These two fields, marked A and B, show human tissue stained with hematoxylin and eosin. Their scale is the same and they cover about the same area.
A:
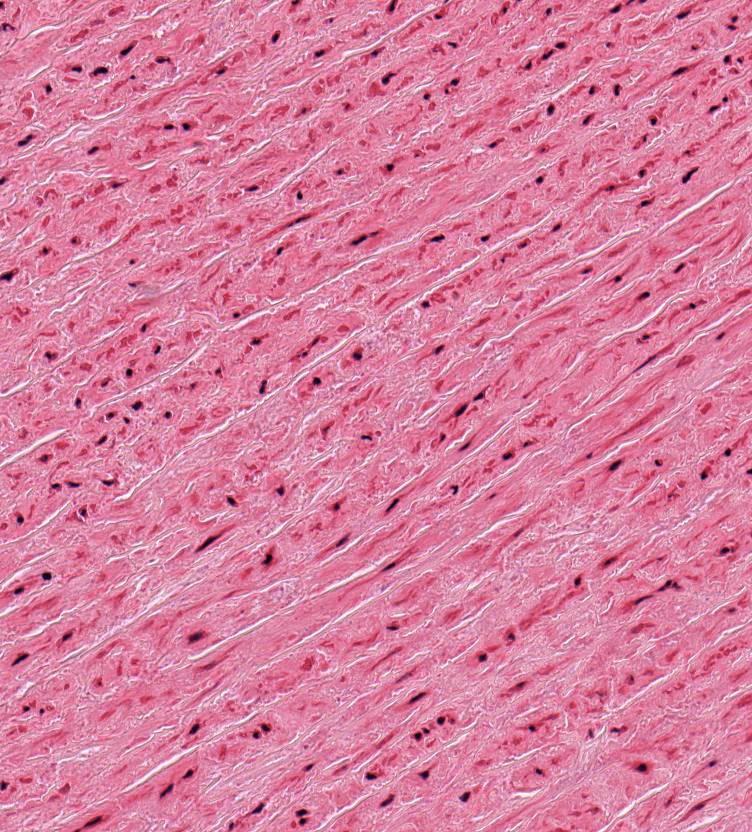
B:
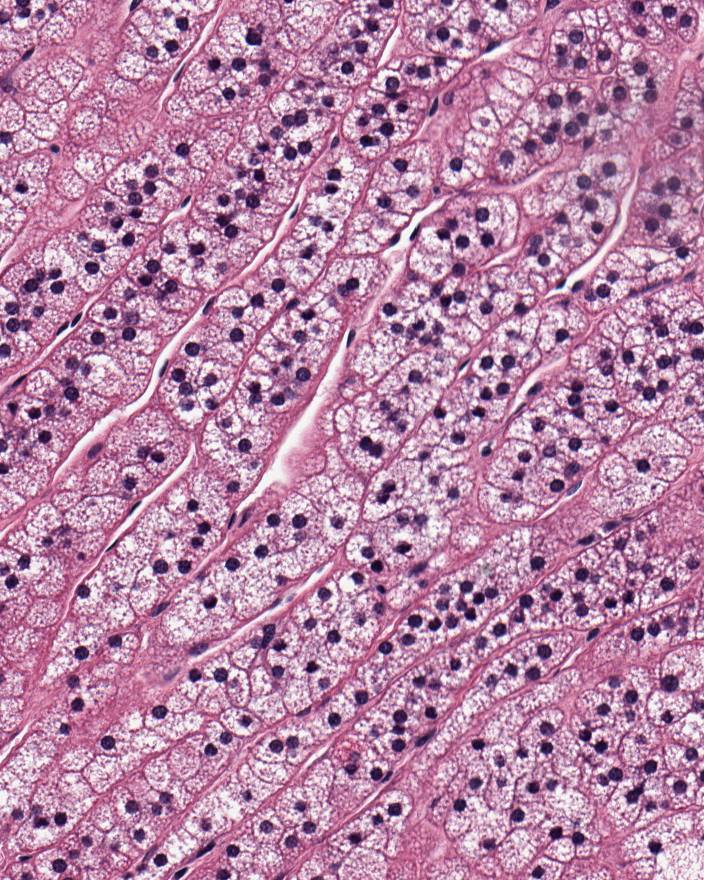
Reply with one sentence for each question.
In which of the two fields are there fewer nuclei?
It is field A that has fewer nuclei in it.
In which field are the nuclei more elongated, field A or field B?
The nuclei are more elongated in field A.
